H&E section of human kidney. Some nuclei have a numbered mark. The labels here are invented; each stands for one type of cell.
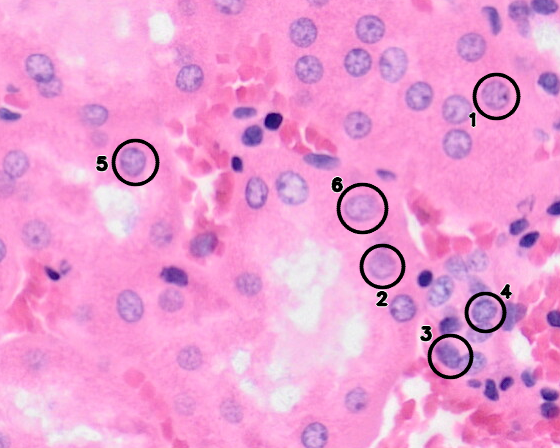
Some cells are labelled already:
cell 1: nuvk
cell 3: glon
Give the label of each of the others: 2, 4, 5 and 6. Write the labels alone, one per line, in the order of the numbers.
nuvk
glon
nuvk
nuvk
